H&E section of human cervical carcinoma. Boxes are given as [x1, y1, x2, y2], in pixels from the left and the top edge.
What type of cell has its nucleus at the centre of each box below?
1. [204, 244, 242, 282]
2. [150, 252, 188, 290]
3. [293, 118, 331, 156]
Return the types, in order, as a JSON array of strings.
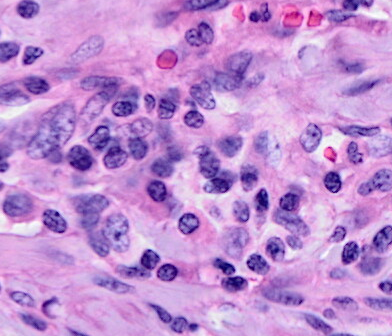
["lymphocyte", "lymphocyte", "endothelial cell"]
